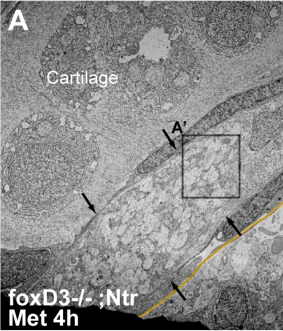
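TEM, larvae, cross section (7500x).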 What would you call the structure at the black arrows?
axon bundle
